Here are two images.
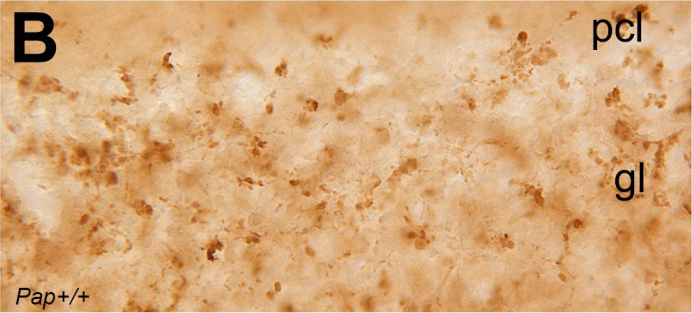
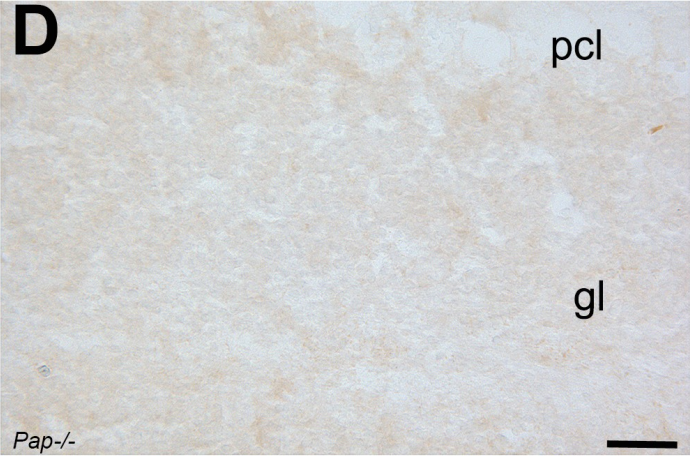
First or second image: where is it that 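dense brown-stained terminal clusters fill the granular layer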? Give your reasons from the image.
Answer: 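The first image. Second image: the granular layer is uniformly pale beige without dark clusters. First image: many dark brown lobulated clusters lie in the granular layer.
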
